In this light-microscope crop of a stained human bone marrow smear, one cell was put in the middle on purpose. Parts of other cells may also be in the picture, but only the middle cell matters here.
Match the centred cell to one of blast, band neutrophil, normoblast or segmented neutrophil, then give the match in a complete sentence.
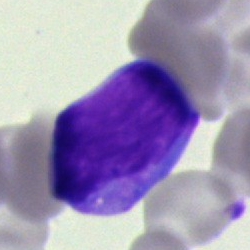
Whatever else lies nearby, the middle cell is a blast.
